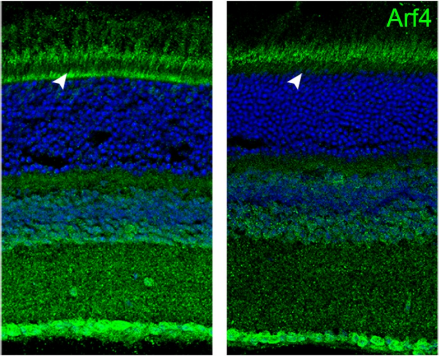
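These are cross-sections of retina with its layers stacked from photoreceptor segments at the top to the ganglion cell layer at the bottom. In the left image a thin bright green line runs along the base of the inner segments, while in the right image that line is much fainter.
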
